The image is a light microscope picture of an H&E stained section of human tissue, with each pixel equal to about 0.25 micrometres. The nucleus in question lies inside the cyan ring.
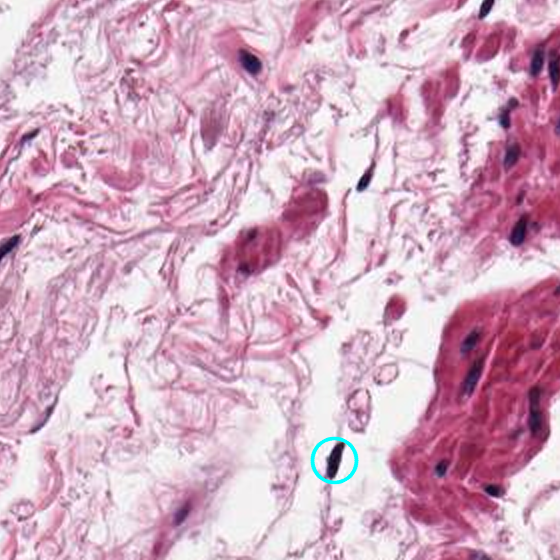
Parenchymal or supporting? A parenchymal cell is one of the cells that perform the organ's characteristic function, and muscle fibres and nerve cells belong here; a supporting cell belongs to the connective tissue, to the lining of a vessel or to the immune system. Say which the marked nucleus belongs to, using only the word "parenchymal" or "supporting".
supporting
